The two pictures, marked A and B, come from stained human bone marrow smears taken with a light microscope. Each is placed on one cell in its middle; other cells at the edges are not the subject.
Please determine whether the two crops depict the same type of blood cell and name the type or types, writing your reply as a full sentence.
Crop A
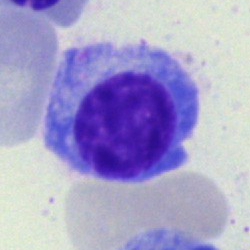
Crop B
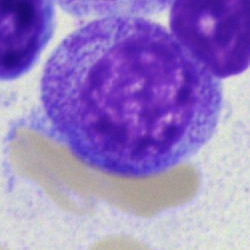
No, crop A contains a plasma cell, whereas crop B contains a myelocyte.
